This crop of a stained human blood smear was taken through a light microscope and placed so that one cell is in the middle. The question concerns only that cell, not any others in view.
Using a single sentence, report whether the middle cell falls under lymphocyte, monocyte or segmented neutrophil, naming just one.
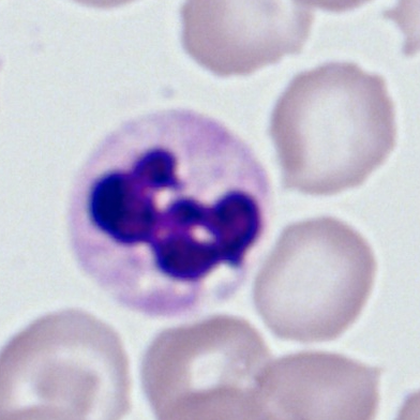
Among the cells in view, the one in the middle is a segmented neutrophil.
